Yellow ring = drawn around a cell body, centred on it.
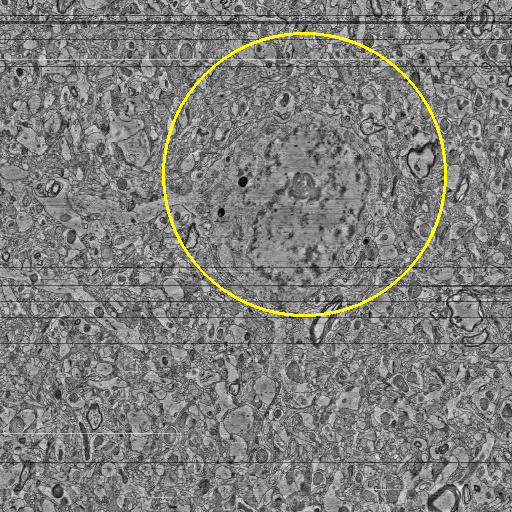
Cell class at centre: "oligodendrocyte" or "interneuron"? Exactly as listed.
interneuron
